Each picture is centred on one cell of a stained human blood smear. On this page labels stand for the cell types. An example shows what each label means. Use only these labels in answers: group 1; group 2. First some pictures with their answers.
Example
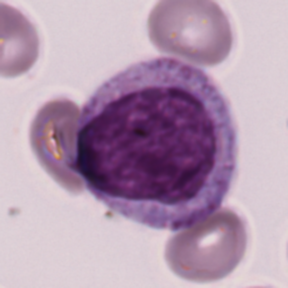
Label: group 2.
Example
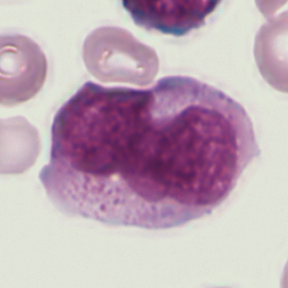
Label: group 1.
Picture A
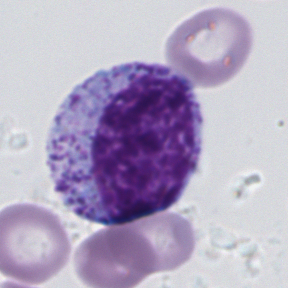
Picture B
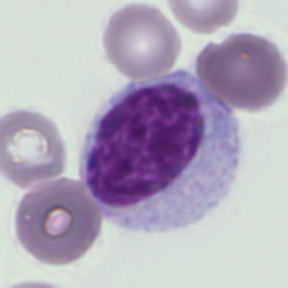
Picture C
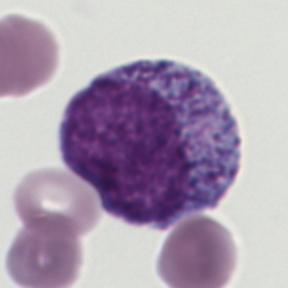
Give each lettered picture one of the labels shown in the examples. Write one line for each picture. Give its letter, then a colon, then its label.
A: group 2.
B: group 2.
C: group 2.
